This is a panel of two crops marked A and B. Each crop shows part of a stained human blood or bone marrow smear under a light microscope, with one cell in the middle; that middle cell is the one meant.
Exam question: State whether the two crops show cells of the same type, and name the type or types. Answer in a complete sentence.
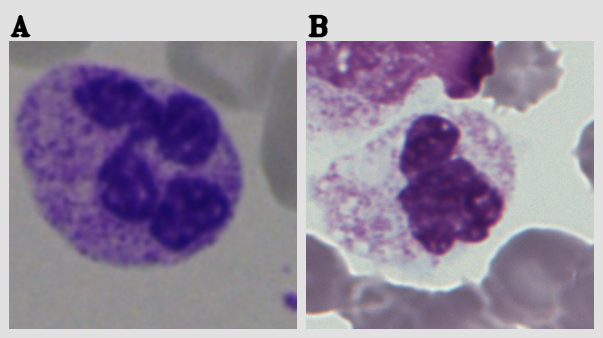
Yes, both crops show segmented neutrophils as their central cells.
